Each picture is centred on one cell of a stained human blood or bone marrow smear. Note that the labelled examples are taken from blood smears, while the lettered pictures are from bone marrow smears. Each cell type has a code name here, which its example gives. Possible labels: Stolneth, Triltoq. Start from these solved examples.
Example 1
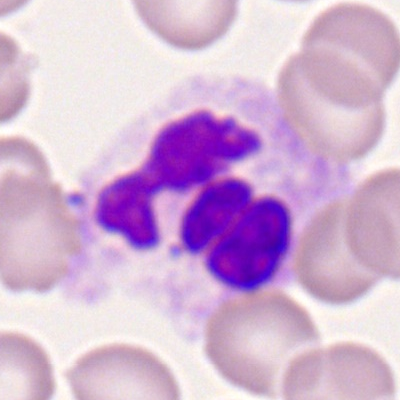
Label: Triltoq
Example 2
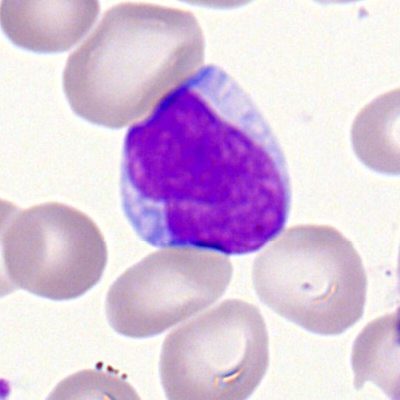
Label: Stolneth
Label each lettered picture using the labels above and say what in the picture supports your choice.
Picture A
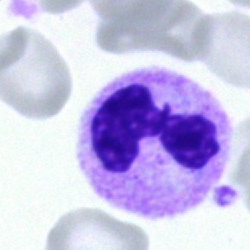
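Triltoq: The cytoplasm is abundant and pale pinkish-lilac.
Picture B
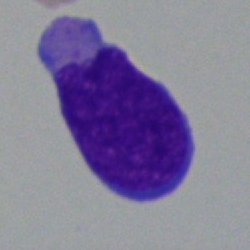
Stolneth: The dark nucleus fills almost the whole cell.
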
